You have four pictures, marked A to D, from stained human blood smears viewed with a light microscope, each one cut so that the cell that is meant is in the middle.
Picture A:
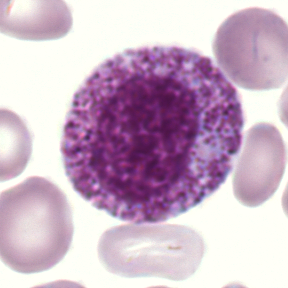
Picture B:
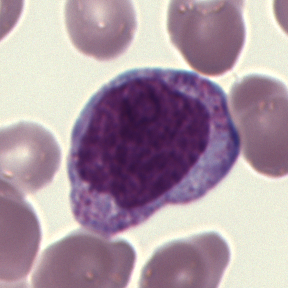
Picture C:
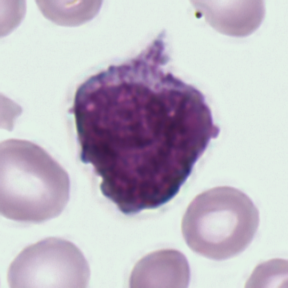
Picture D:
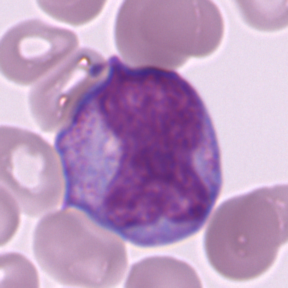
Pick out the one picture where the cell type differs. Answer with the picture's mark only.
A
